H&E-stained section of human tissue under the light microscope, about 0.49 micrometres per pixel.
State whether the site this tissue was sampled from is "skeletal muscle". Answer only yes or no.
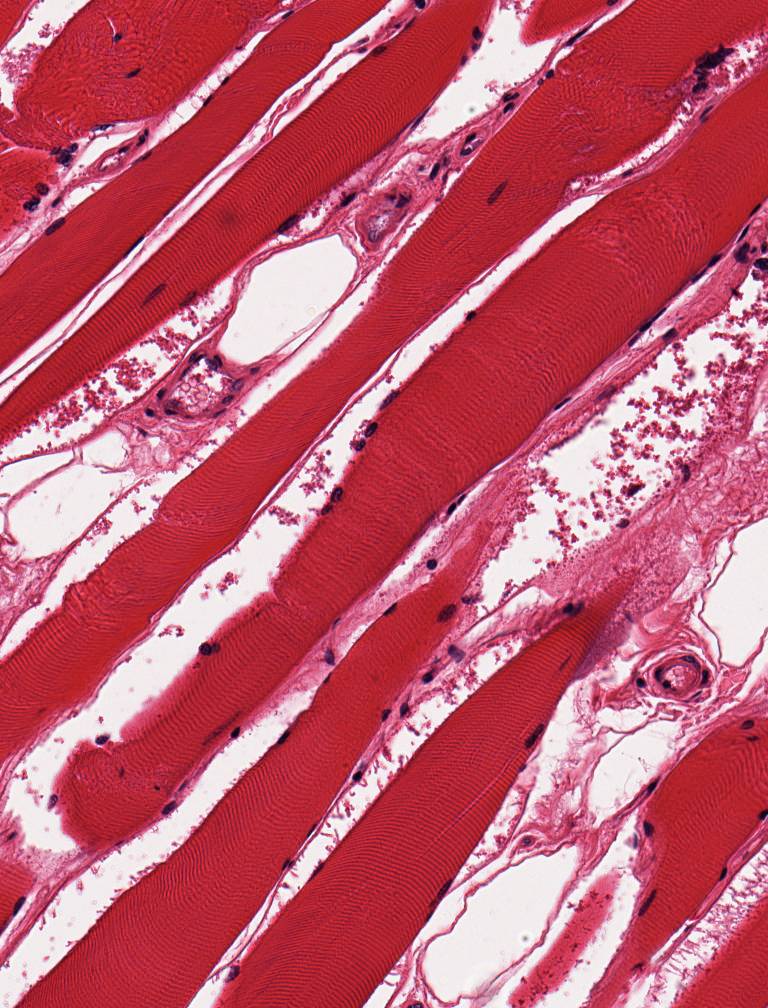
yes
